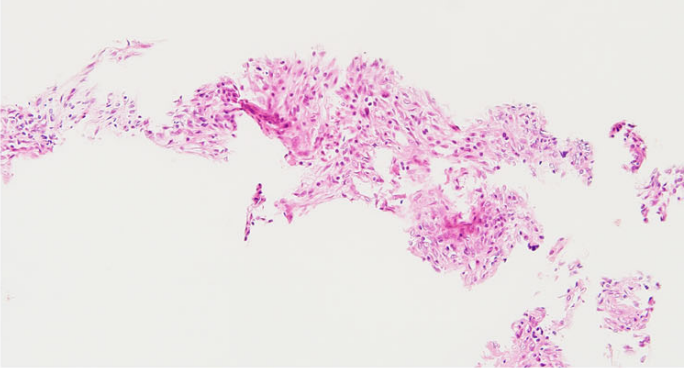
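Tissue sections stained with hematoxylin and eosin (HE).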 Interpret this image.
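The cells are spindle-shaped to stellate, with elongated or oval purple nuclei and pale pink cytoplasm drawn out into thin processes. They lie singly and in loose interlacing bundles within pale pink matrix, with gaps between the fragments. No glandular or epithelial structures are present.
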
